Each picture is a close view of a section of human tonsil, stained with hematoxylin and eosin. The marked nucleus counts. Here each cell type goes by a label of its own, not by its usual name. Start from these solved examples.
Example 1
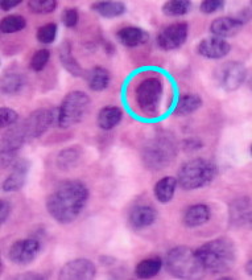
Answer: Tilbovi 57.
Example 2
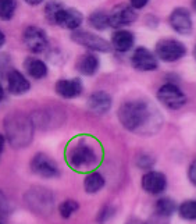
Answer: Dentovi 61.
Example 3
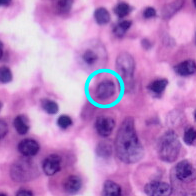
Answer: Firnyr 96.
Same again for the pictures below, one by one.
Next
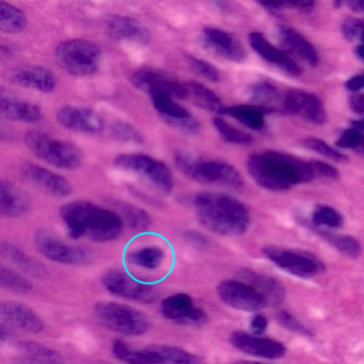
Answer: Tilbovi 57.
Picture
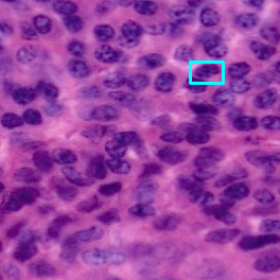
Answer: Firnyr 96.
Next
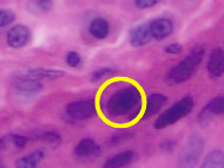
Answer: Tilbovi 57.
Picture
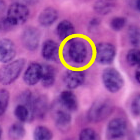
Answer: Firnyr 96.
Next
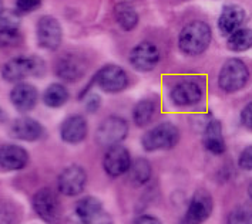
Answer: Firnyr 96.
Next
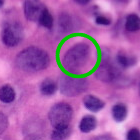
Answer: Tilbovi 57.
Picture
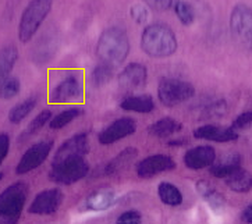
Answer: Tilbovi 57.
